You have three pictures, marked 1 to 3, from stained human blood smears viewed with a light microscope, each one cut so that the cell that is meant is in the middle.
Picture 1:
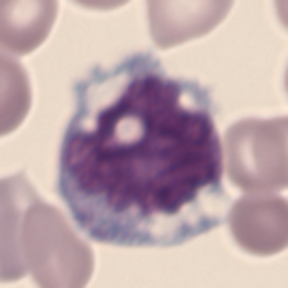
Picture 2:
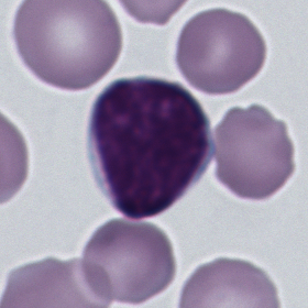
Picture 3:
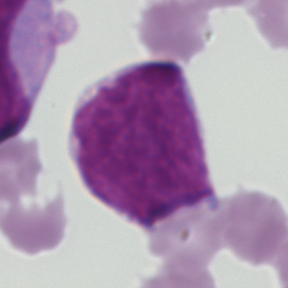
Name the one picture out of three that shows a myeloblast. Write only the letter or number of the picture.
3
